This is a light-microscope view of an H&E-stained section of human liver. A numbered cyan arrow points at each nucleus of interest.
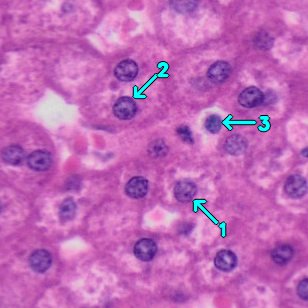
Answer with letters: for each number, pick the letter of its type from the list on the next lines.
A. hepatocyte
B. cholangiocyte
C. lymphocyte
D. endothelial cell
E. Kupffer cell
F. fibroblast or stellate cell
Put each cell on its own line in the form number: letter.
1: A
2: A
3: C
